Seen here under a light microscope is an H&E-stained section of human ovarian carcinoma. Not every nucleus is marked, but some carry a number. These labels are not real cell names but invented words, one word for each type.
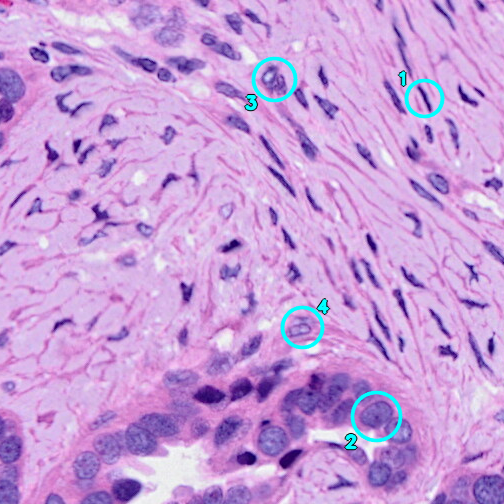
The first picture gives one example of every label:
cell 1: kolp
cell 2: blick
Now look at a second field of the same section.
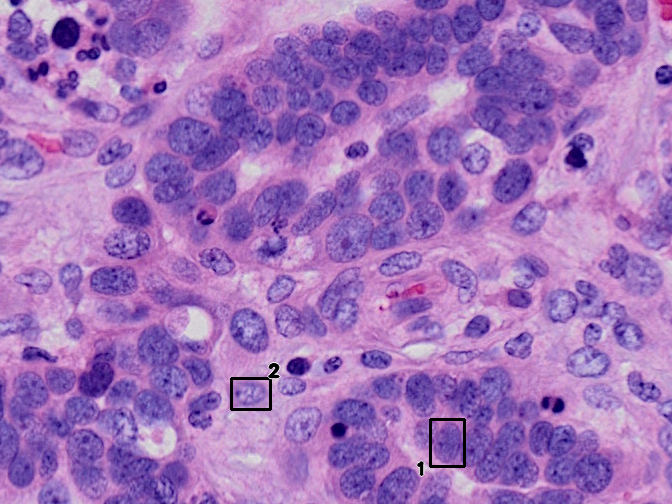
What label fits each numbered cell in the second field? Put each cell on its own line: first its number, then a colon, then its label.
1: blick
2: kolp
